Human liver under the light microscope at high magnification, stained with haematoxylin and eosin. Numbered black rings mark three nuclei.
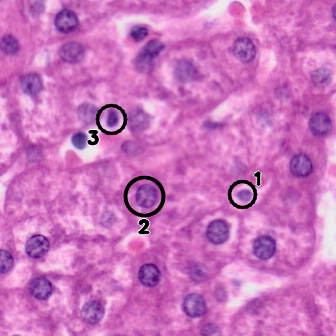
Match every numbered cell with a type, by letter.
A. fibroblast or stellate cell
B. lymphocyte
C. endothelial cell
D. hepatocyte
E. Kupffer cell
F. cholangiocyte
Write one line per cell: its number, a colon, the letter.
1: B
2: D
3: B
